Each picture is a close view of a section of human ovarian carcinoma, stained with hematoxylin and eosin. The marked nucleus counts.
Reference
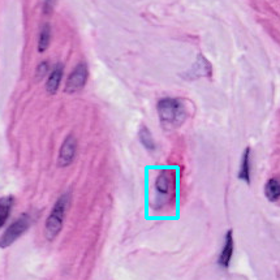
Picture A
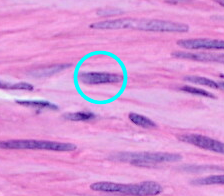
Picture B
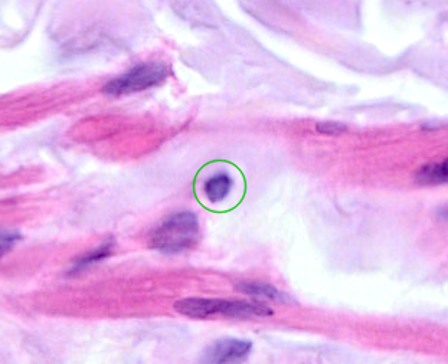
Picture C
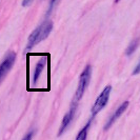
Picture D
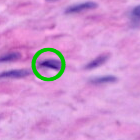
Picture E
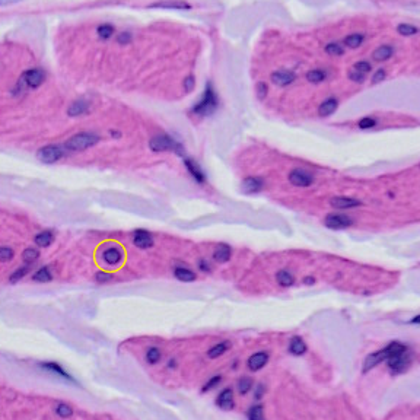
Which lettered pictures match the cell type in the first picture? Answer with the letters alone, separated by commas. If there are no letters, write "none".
none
